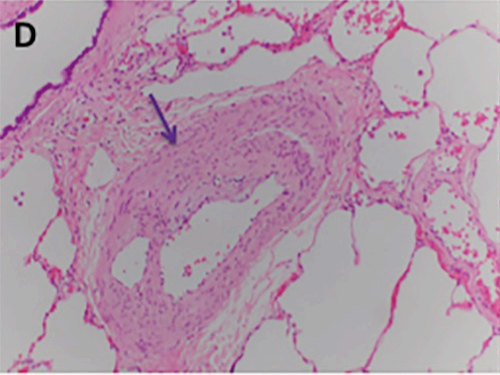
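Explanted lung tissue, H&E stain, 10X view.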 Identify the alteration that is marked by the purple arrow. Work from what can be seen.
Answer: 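An artery's lumen is narrowed by a thick cellular layer lining its inner side.
Artery intimal thickening.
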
